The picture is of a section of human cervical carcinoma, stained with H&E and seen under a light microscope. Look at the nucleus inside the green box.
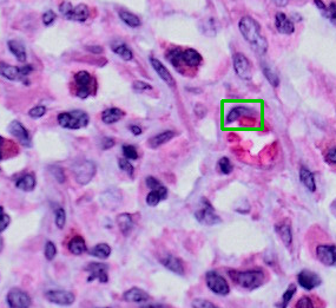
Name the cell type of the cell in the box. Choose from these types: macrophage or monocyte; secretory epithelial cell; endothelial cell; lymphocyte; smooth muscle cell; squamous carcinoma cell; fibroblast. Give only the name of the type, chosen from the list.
endothelial cell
